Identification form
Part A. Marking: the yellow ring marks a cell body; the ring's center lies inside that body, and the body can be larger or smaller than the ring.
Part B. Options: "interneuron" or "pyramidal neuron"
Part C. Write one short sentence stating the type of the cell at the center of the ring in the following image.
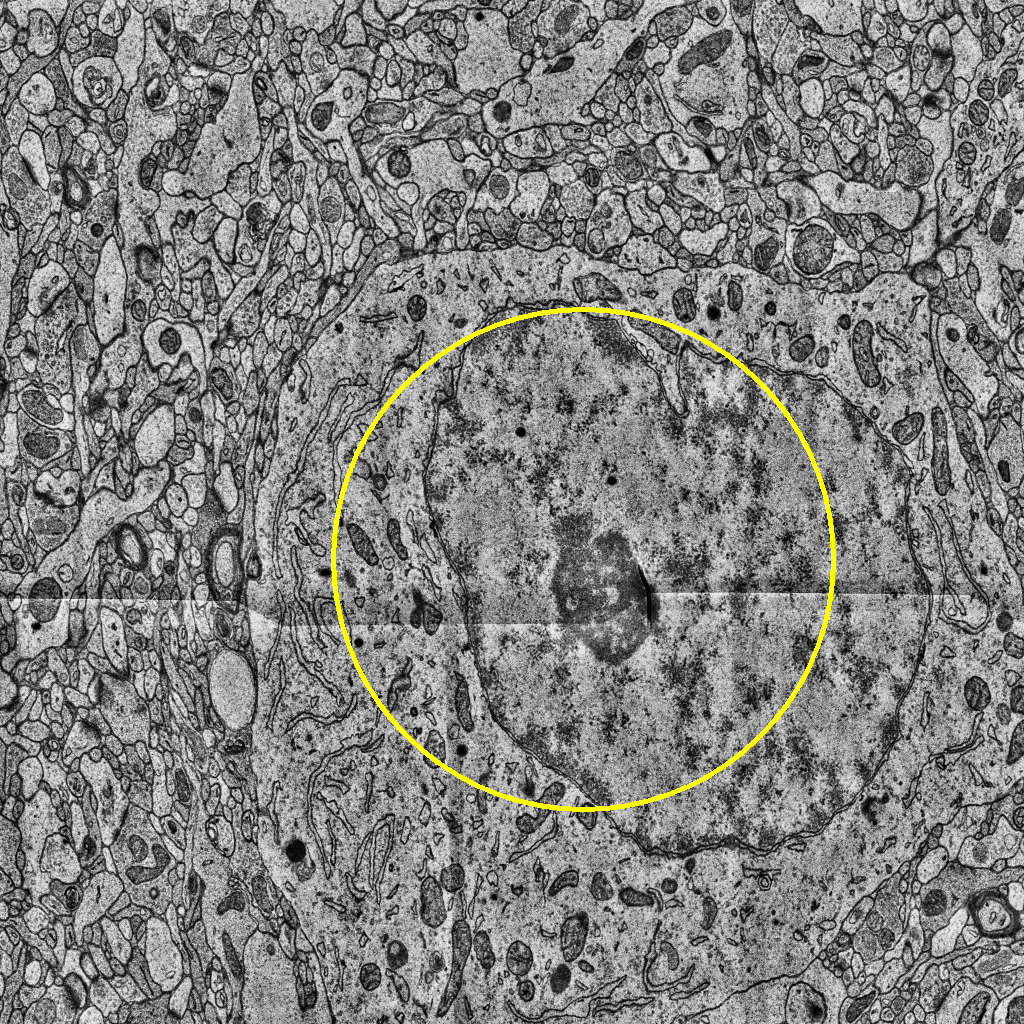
The center of the ring holds an interneuron.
